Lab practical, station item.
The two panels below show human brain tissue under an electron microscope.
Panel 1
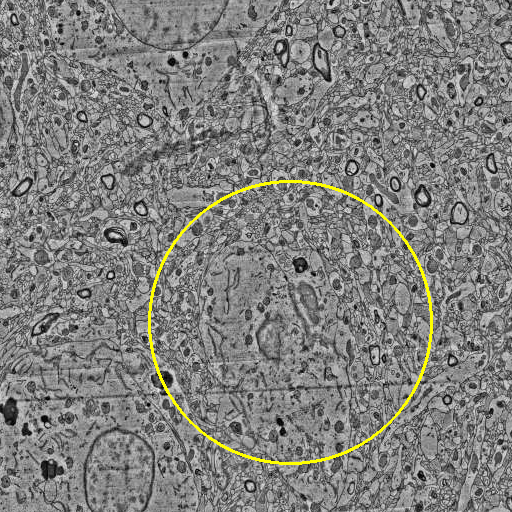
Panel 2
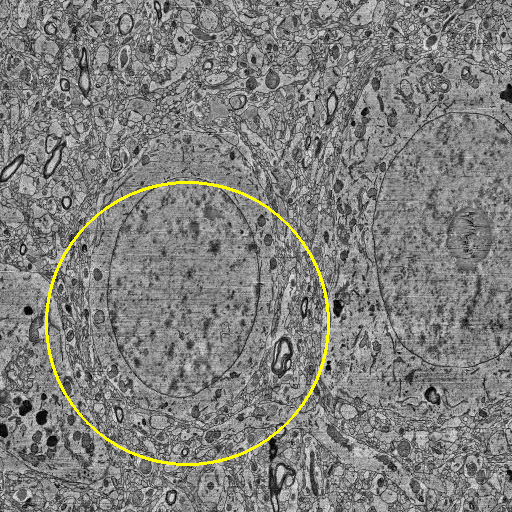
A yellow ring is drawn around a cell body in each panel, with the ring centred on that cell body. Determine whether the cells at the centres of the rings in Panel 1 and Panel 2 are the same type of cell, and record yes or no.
no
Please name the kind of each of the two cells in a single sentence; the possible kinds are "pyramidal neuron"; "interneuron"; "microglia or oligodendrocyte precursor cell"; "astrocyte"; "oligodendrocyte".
In the first picture the ring is centred on a microglial cell or oligodendrocyte precursor cell, and in the second on a pyramidal neuron.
